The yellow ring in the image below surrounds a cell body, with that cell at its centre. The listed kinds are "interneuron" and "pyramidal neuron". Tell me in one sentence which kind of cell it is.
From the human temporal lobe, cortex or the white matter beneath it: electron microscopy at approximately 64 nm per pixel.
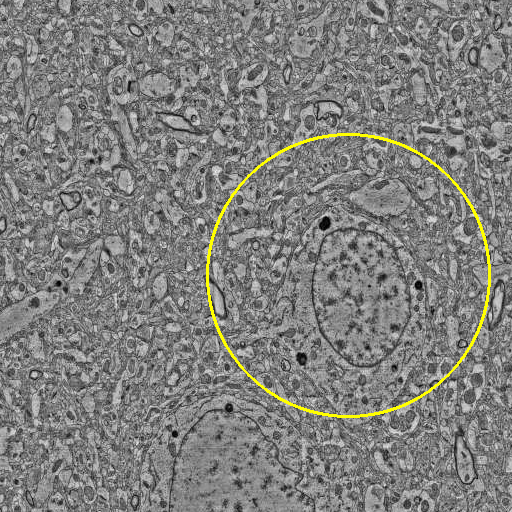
The centre of the ring holds a pyramidal neuron.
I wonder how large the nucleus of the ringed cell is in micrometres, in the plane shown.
In this plane, the nucleus is roughly 9 by 6 micrometres.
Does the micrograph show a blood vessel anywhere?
No, no vessel appears in the picture.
